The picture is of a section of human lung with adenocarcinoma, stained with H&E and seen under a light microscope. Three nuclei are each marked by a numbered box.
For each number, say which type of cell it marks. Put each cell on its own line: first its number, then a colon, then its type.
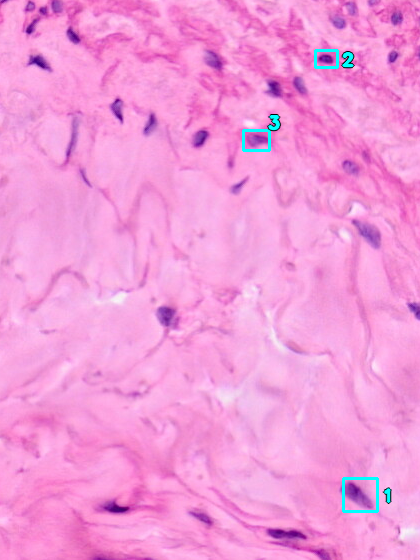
1: fibroblast
2: smooth muscle cell or pericyte
3: smooth muscle cell or pericyte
